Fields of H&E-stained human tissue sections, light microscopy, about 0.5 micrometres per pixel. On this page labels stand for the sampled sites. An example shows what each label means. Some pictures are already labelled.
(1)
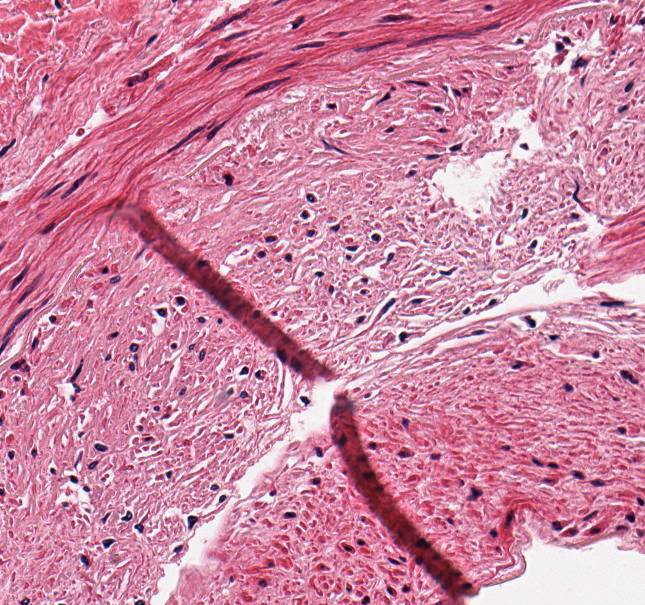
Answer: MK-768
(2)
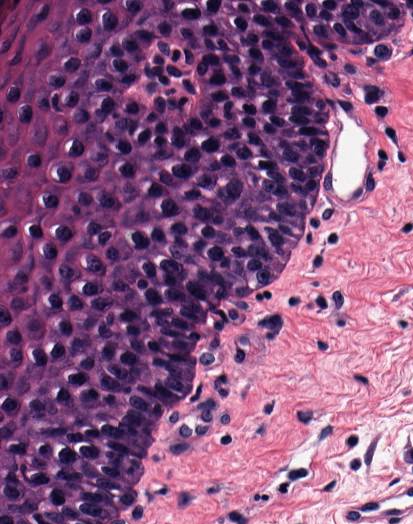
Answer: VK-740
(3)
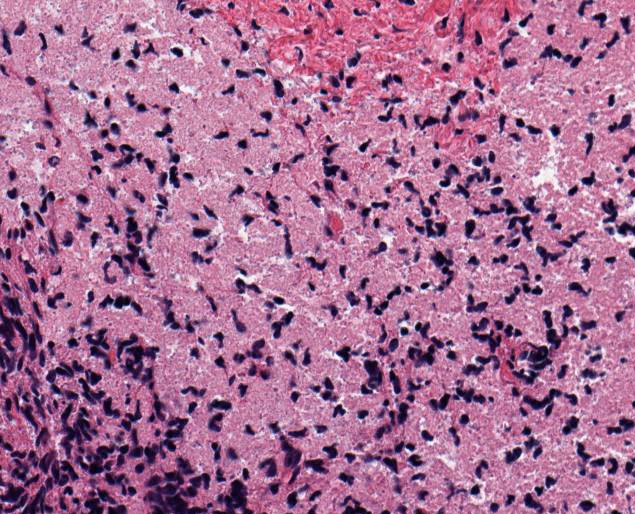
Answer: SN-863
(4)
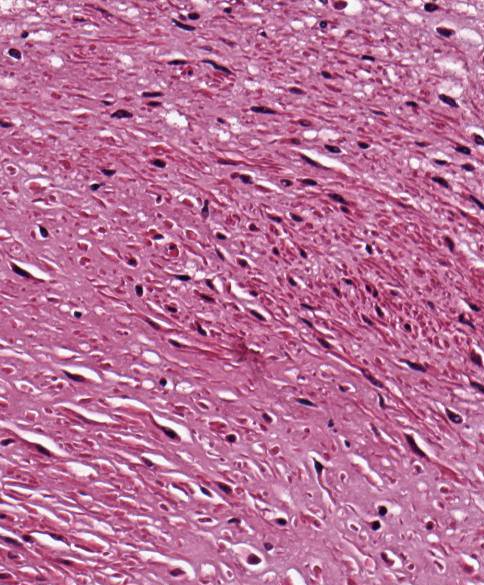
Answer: MK-768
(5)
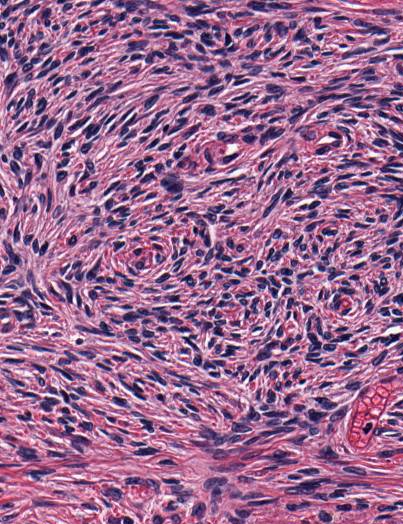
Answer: SN-863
